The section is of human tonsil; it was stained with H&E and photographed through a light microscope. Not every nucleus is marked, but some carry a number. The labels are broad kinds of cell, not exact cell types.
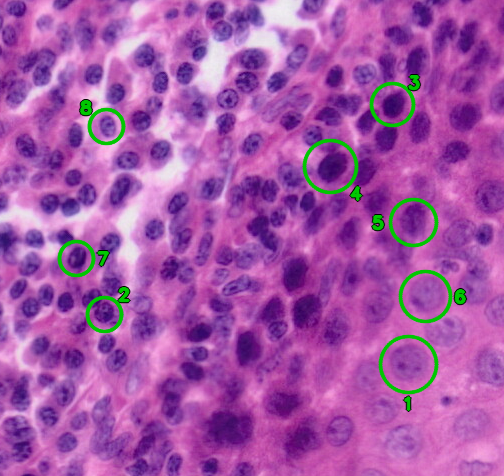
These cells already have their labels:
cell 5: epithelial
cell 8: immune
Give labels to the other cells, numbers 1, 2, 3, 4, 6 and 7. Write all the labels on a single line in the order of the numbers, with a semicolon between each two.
epithelial; immune; epithelial; epithelial; epithelial; immune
